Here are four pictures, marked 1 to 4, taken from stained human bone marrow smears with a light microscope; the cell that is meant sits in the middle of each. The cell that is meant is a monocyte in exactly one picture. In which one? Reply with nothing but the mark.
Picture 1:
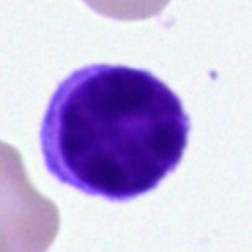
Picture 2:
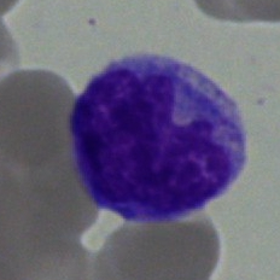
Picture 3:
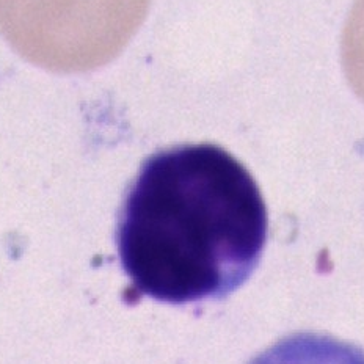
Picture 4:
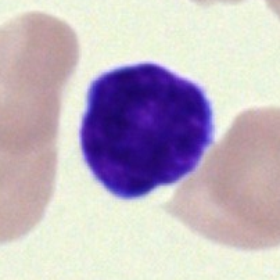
2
